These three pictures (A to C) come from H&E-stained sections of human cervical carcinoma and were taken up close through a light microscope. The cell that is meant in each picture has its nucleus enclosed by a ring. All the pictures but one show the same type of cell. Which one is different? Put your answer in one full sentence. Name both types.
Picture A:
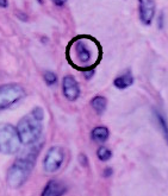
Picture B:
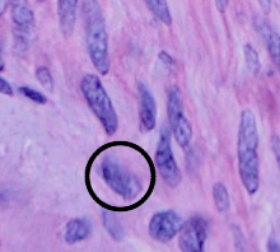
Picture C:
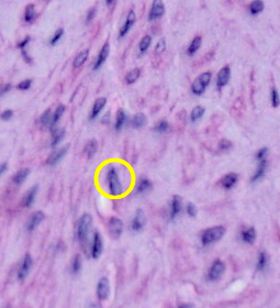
The others show smooth muscle cells, but picture B shows a fibroblast.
